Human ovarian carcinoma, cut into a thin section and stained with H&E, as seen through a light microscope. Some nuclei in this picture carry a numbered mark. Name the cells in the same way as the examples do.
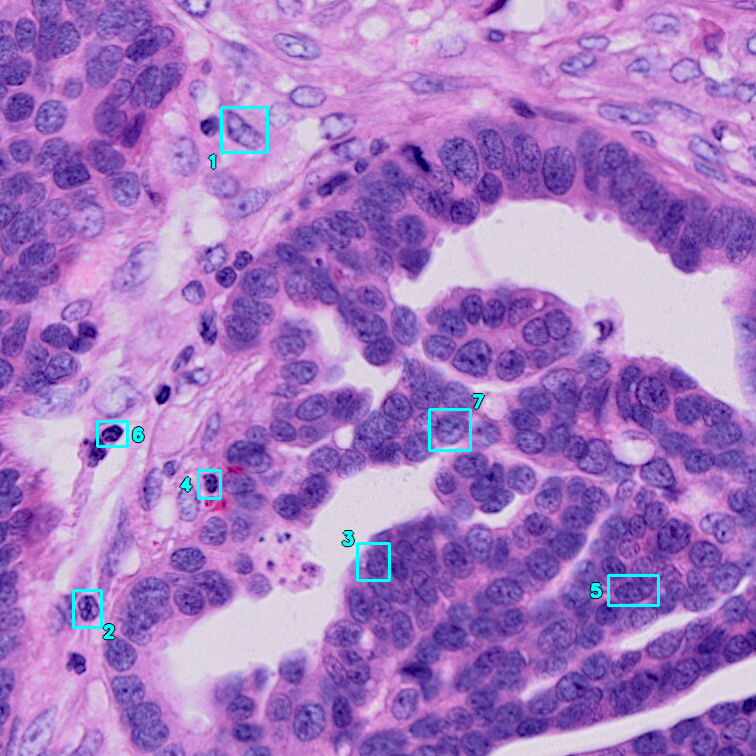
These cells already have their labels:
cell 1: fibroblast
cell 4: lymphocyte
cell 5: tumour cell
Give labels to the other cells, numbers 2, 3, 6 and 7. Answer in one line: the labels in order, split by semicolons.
lymphocyte; tumour cell; lymphocyte; tumour cell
